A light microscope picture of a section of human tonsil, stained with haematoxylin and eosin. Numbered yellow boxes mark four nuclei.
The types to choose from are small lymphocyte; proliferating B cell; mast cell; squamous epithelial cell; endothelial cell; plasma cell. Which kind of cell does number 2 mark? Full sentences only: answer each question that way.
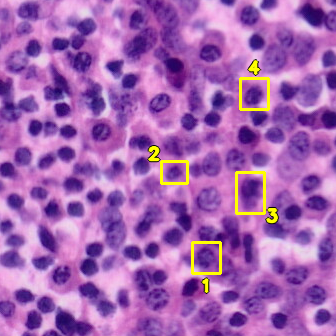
The one labeled 2 is a plasma cell, to put it simply.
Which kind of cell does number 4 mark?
It is as a plasma cell that the cell numbered 4 is identified.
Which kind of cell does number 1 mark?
The label 1 in this section denotes a plasma cell.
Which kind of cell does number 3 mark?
The correct answer for cell 3 is a squamous epithelial cell.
